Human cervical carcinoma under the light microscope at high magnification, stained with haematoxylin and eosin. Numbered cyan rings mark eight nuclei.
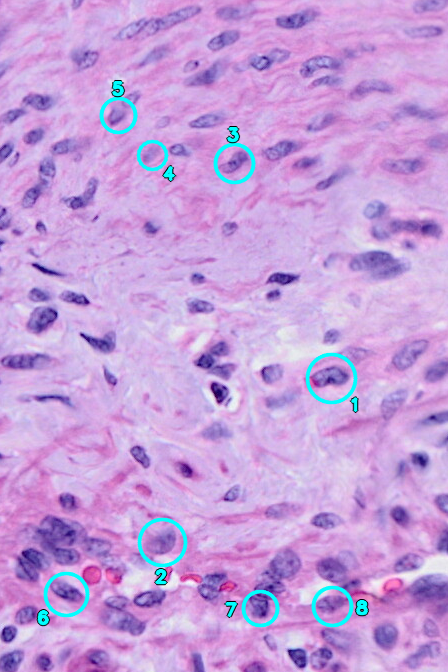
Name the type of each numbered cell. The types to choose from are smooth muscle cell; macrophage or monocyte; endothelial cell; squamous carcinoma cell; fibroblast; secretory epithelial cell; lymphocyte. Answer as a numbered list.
1. endothelial cell
2. endothelial cell
3. smooth muscle cell
4. smooth muscle cell
5. smooth muscle cell
6. endothelial cell
7. endothelial cell
8. endothelial cell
